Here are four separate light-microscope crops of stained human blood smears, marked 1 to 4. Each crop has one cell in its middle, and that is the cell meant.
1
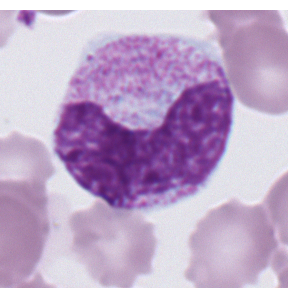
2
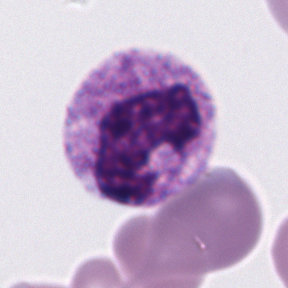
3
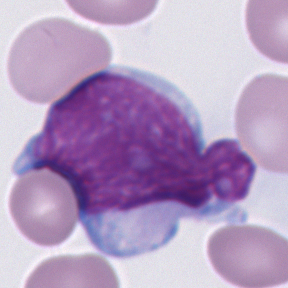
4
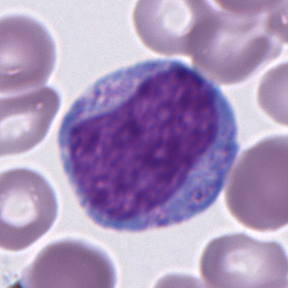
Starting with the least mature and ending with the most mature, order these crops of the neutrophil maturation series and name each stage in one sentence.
Ranked by maturation stage, earliest first, the crops read crop 3 (a blast), crop 4 (a promyelocyte), crop 1 (a band neutrophil) and crop 2 (a segmented neutrophil).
